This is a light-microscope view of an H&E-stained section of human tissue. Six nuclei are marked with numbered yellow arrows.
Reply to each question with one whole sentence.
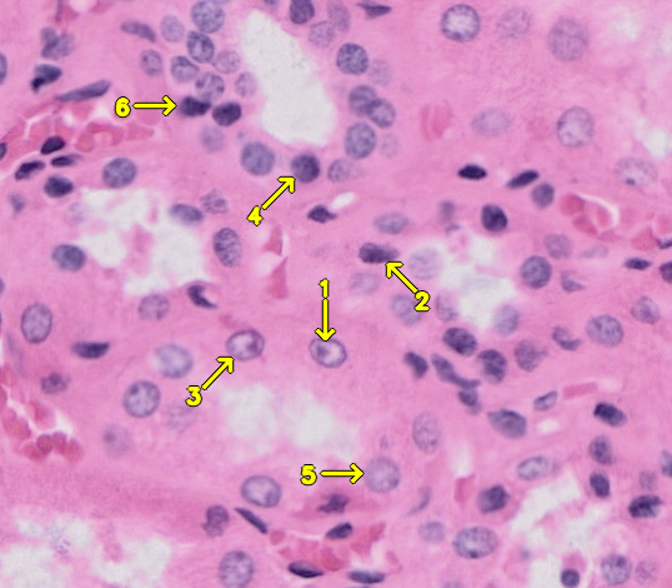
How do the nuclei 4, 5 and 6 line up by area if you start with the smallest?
From smallest to largest, the order is 6, 4, 5.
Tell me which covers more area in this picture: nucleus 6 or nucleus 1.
At about 1.5 times the area of nucleus 6, nucleus 1 is the larger of the two.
